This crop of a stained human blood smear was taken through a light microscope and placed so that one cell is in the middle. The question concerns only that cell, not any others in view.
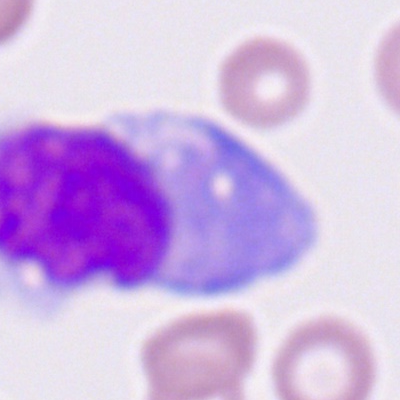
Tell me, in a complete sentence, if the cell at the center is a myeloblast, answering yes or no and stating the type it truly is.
No, what lies at the heart of the crop is a monocyte, not a myeloblast.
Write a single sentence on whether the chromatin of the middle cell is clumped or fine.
Here the nuclear chromatin is coarsely clumped.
